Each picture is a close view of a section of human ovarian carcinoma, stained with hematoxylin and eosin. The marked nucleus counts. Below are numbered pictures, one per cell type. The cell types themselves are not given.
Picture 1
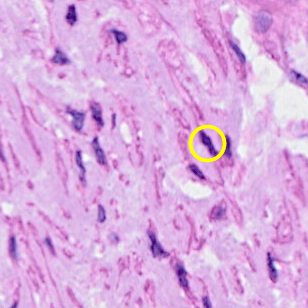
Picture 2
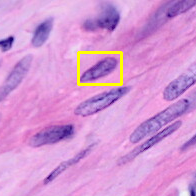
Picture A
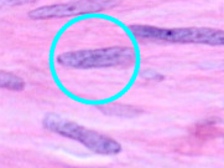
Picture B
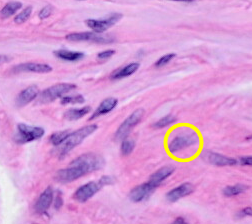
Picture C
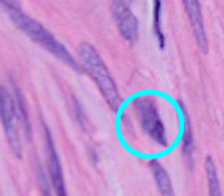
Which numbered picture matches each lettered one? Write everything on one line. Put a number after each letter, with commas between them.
A 2, B 2, C 2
